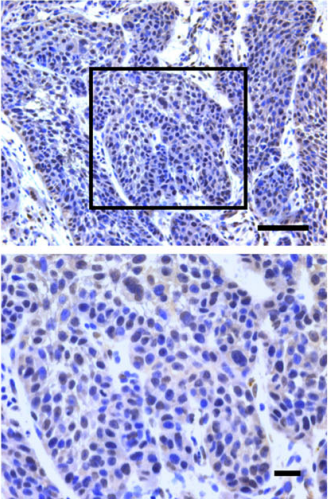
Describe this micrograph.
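Crowded nests of tumour cells are separated by thin strands of stroma, and the boxed nest is enlarged below. The tumour cells have oval, closely packed nuclei that stain mostly blue, with scanty pale cytoplasm and only faint brown staining.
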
